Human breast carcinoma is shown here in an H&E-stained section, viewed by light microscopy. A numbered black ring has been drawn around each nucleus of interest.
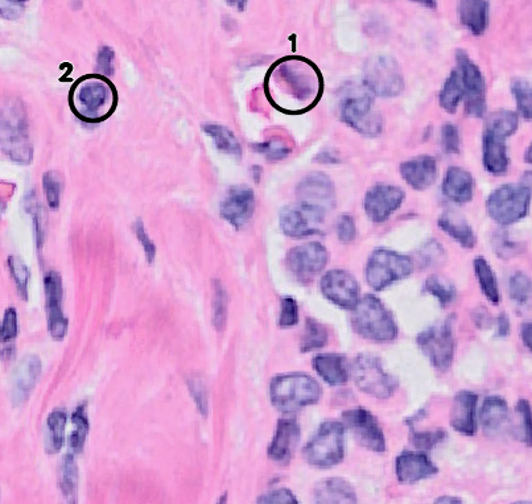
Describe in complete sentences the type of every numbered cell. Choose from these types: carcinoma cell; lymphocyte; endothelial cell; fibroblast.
Cell 1 is an endothelial cell and cell 2 is a lymphocyte.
